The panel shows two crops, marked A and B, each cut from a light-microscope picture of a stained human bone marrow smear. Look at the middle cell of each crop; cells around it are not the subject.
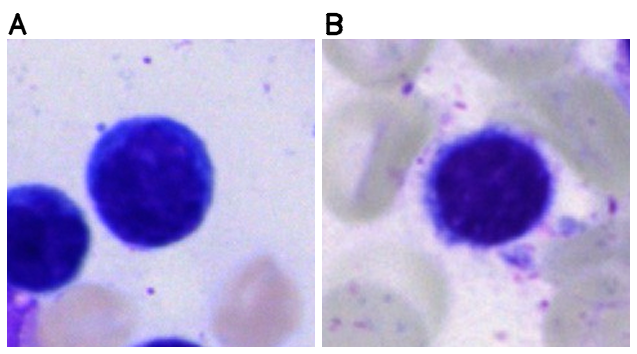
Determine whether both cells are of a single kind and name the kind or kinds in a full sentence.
Yes, the two crops are alike in showing lymphocytes.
